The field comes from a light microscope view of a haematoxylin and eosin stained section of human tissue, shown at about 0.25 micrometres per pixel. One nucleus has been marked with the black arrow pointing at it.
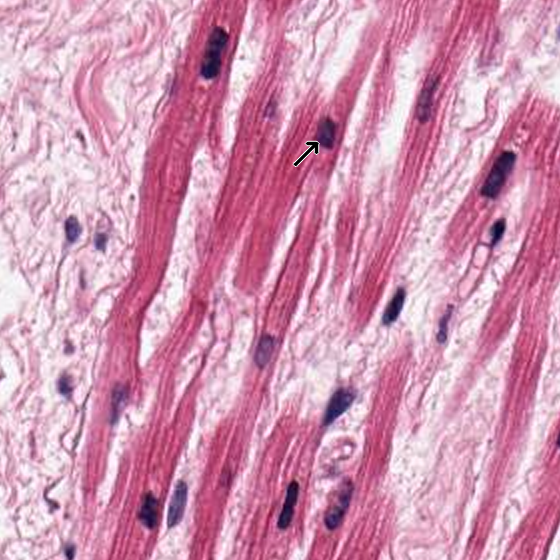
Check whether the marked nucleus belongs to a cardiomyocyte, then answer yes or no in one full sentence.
Yes, the nucleus marked in the image belongs to a cardiomyocyte.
